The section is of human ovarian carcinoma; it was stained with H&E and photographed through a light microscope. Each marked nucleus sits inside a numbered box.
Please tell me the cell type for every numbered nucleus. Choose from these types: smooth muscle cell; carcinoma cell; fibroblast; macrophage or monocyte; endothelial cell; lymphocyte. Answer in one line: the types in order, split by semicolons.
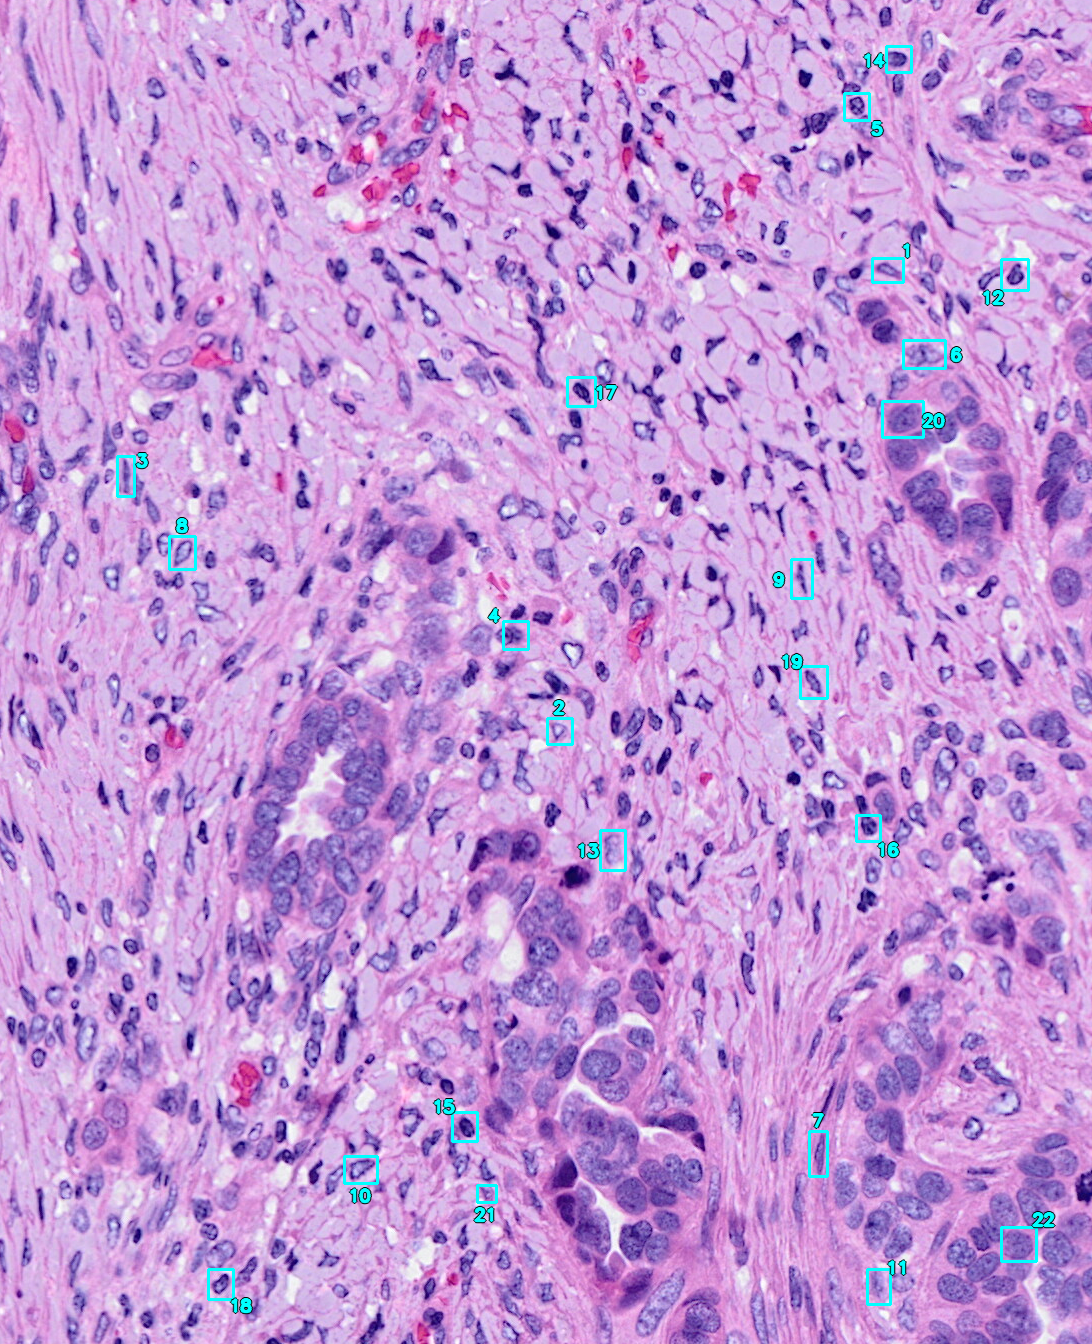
fibroblast; fibroblast; fibroblast; lymphocyte; lymphocyte; fibroblast; fibroblast; fibroblast; fibroblast; fibroblast; fibroblast; lymphocyte; fibroblast; lymphocyte; lymphocyte; lymphocyte; lymphocyte; lymphocyte; fibroblast; carcinoma cell; fibroblast; carcinoma cell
